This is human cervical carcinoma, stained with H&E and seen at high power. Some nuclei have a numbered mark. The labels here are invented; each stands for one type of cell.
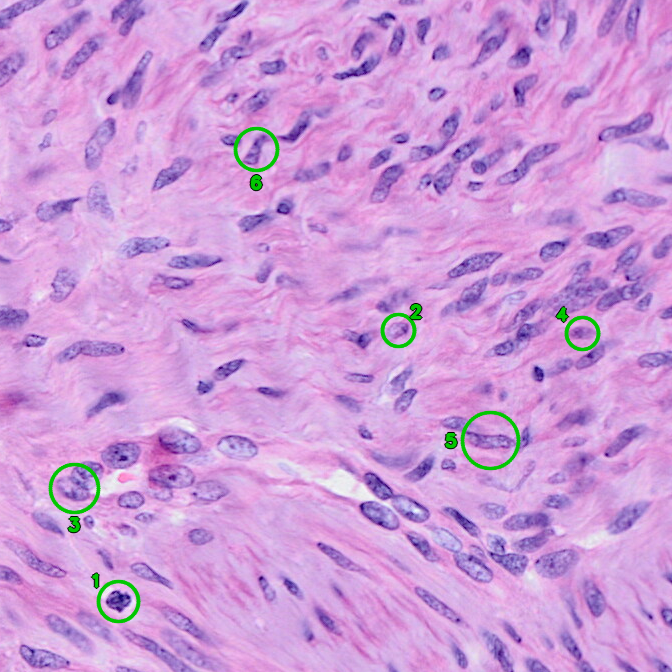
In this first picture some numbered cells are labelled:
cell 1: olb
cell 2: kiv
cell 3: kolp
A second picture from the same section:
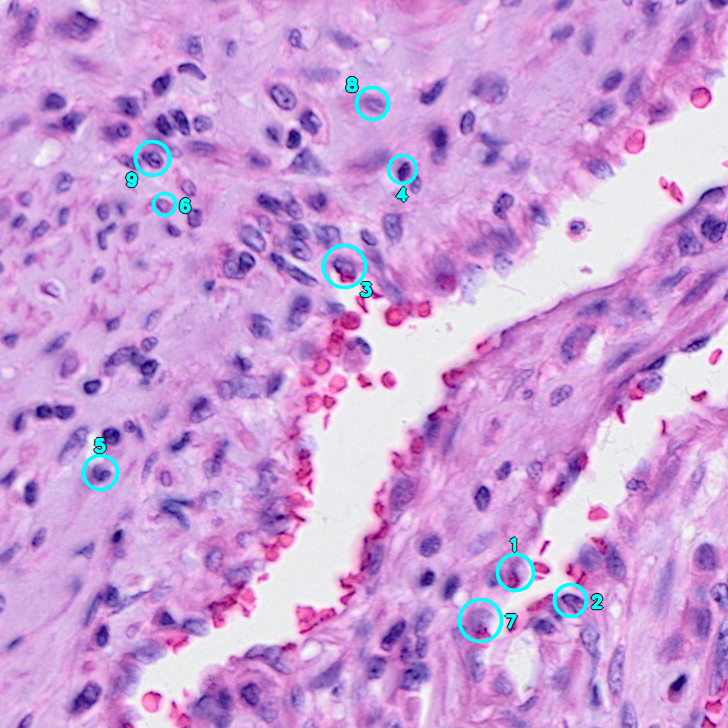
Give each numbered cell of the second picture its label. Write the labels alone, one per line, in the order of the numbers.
kolp
kolp
kolp
olb
olb
kiv
kolp
kiv
olb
